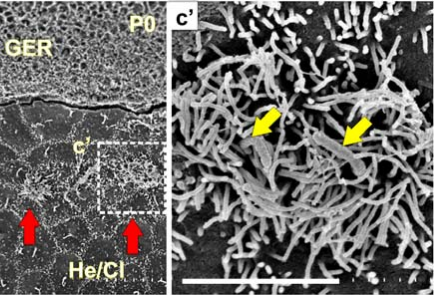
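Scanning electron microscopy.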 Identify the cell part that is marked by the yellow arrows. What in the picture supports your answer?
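The arrows point to thicker, longer processes lying among a dense tuft of thin microvilli. So: kinocilia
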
